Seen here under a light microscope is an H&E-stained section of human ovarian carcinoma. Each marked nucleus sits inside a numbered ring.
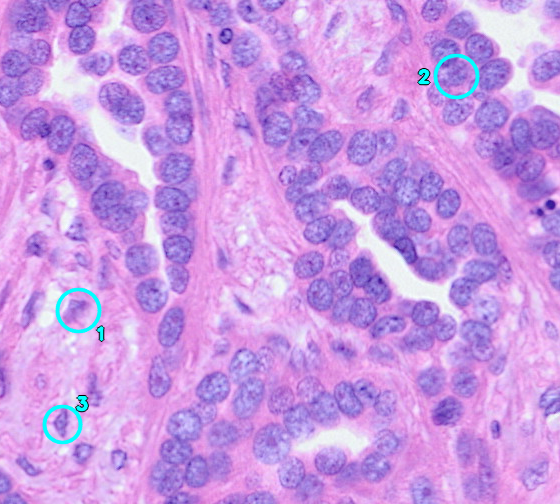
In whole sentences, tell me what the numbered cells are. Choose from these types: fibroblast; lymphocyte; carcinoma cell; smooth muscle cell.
Cells 1 and 3 are fibroblasts. Cell 2 is a carcinoma cell.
